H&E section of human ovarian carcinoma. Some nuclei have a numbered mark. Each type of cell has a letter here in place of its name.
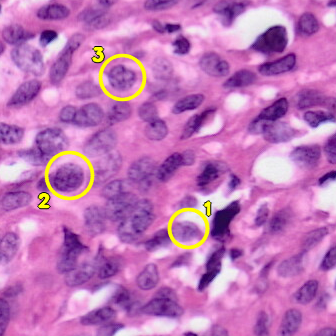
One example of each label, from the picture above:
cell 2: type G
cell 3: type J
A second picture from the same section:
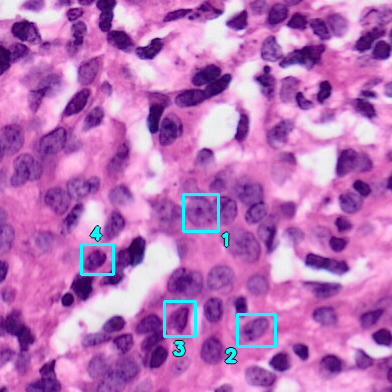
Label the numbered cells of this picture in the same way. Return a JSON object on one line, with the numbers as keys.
{"1": "type G", "2": "type J", "3": "type G", "4": "type G"}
